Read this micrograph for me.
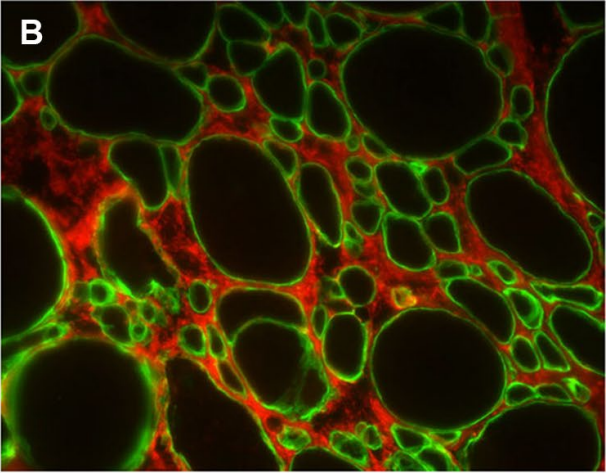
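This is skeletal muscle cut in cross section, with fibres of very unequal size: large rounded fibres lie among clusters of many small rounded ones. Broad red-stained areas fill the widened spaces between the fibres, and the red lies mostly apart from the green rims rather than on them, so the rims look green rather than yellow.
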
